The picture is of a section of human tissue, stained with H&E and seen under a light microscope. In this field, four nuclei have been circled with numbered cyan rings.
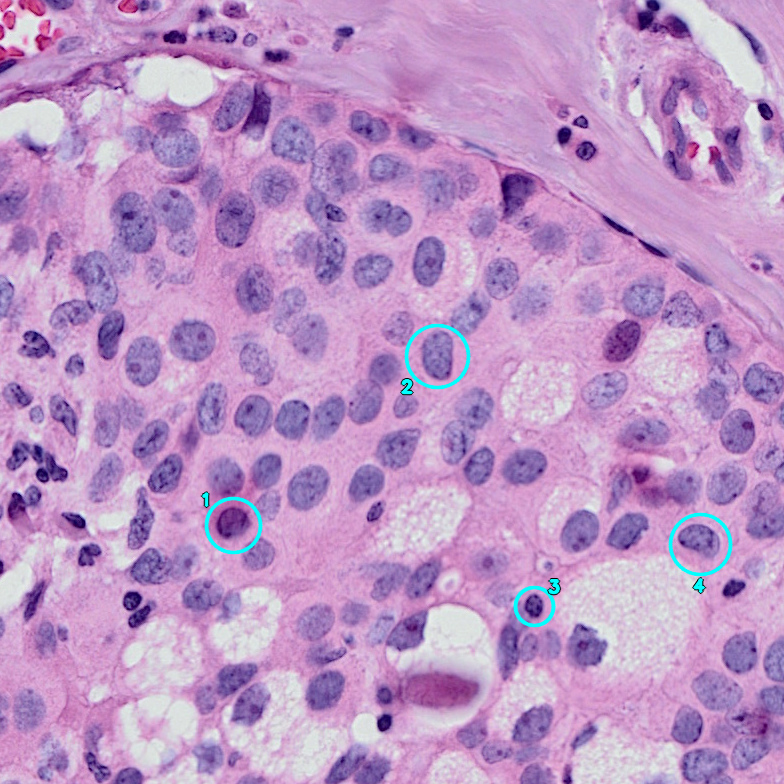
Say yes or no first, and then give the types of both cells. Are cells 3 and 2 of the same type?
No; cell 3 is a lymphocyte, and cell 2 is a carcinoma cell.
